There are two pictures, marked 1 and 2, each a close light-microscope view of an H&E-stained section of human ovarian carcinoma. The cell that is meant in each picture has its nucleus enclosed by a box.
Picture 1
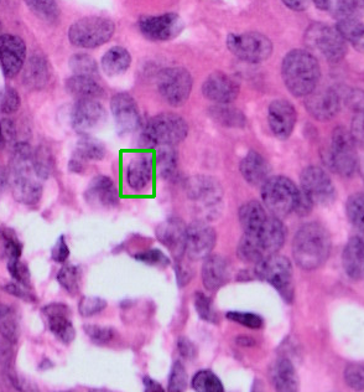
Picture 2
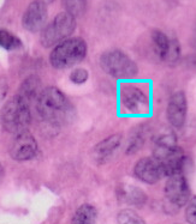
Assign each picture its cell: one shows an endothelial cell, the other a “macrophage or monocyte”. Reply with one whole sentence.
Picture 2 shows an endothelial cell, while picture 1 shows a “macrophage or monocyte”.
